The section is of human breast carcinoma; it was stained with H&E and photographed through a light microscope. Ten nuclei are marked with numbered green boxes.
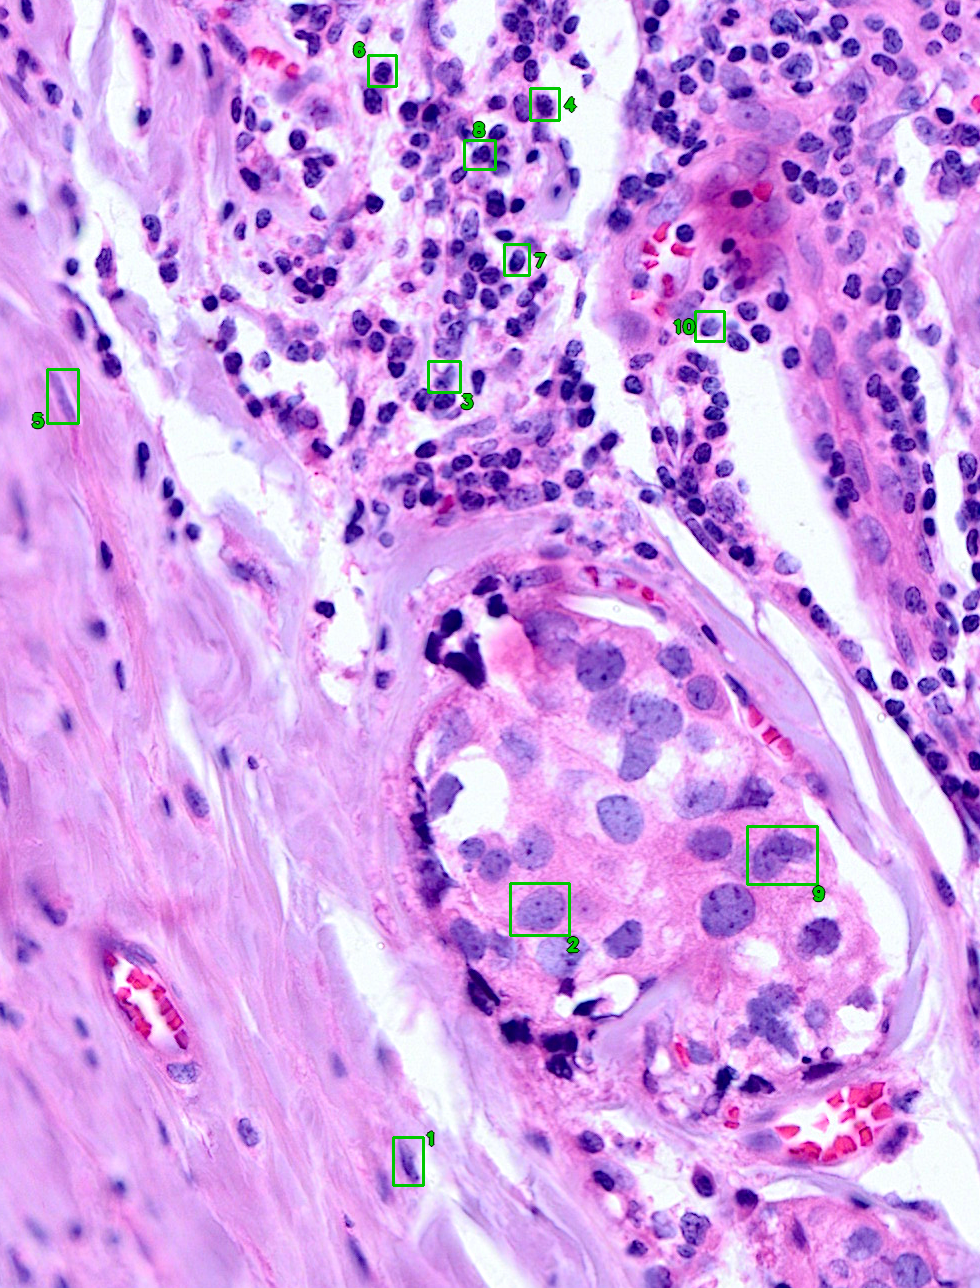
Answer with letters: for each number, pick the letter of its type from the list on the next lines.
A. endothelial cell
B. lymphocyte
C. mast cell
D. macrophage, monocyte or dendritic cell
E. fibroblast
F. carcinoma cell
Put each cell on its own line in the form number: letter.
1: E
2: F
3: B
4: B
5: E
6: B
7: B
8: B
9: F
10: B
